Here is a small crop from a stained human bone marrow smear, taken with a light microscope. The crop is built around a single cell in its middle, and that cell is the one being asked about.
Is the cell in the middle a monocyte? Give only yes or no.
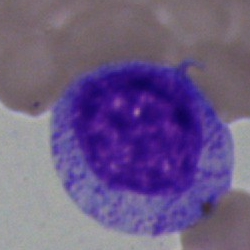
no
